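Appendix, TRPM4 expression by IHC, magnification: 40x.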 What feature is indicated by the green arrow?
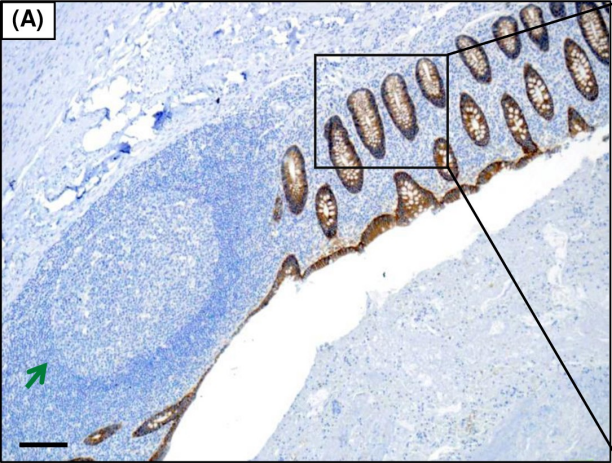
Germinal centre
